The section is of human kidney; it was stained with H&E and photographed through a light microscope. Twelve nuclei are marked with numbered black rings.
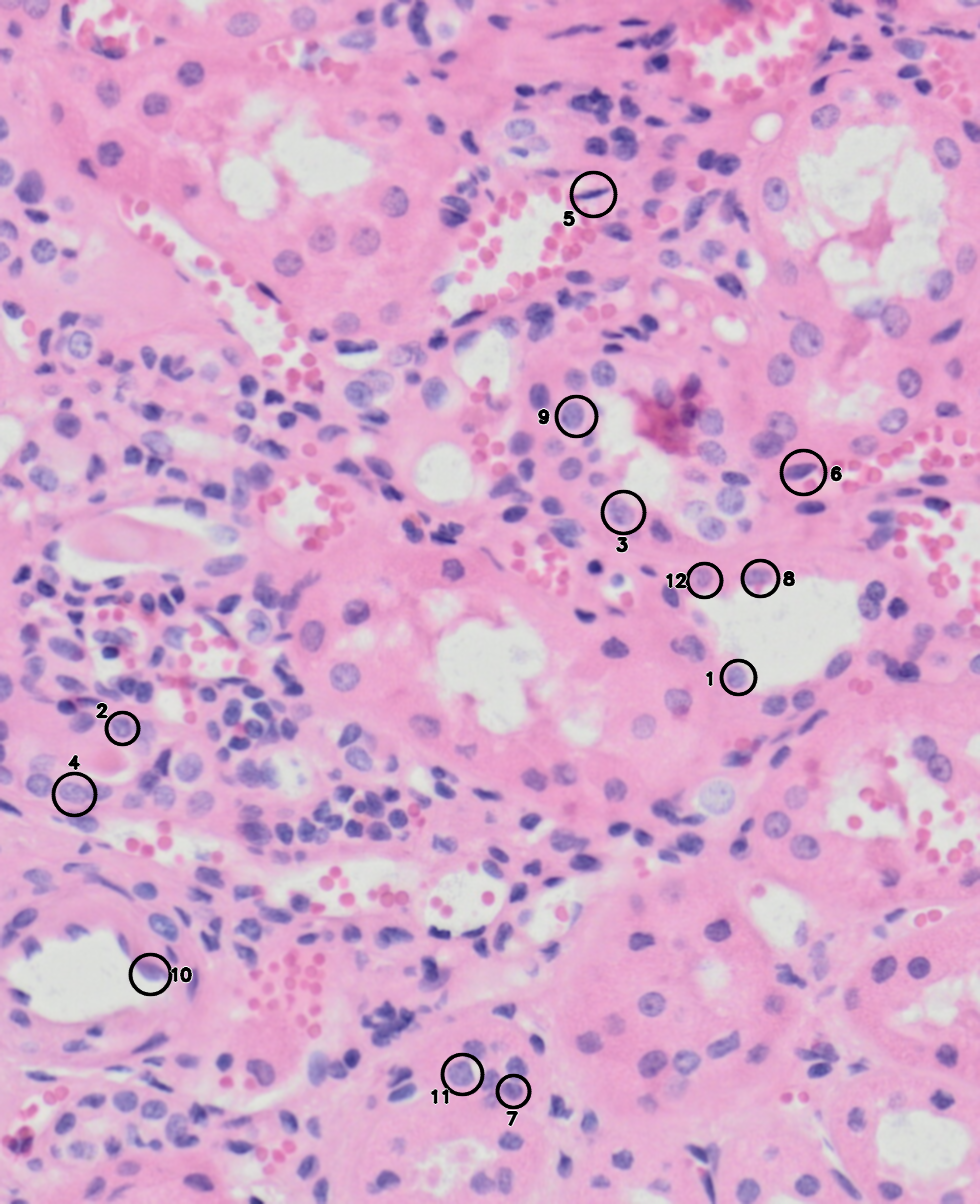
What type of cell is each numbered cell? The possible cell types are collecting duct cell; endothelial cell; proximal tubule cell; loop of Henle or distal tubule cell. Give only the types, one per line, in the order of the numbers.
loop of Henle or distal tubule cell
collecting duct cell
collecting duct cell
collecting duct cell
endothelial cell
endothelial cell
loop of Henle or distal tubule cell
loop of Henle or distal tubule cell
collecting duct cell
endothelial cell
loop of Henle or distal tubule cell
loop of Henle or distal tubule cell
